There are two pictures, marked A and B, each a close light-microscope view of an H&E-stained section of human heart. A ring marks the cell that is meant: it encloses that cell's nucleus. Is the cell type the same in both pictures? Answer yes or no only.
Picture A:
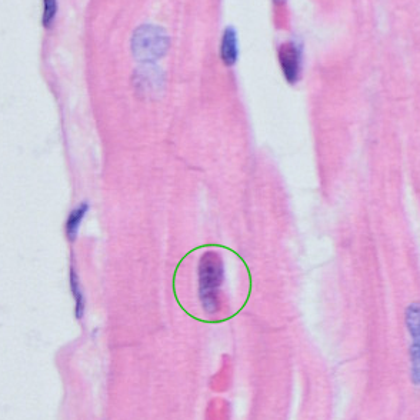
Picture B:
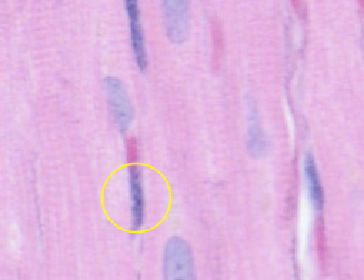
yes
